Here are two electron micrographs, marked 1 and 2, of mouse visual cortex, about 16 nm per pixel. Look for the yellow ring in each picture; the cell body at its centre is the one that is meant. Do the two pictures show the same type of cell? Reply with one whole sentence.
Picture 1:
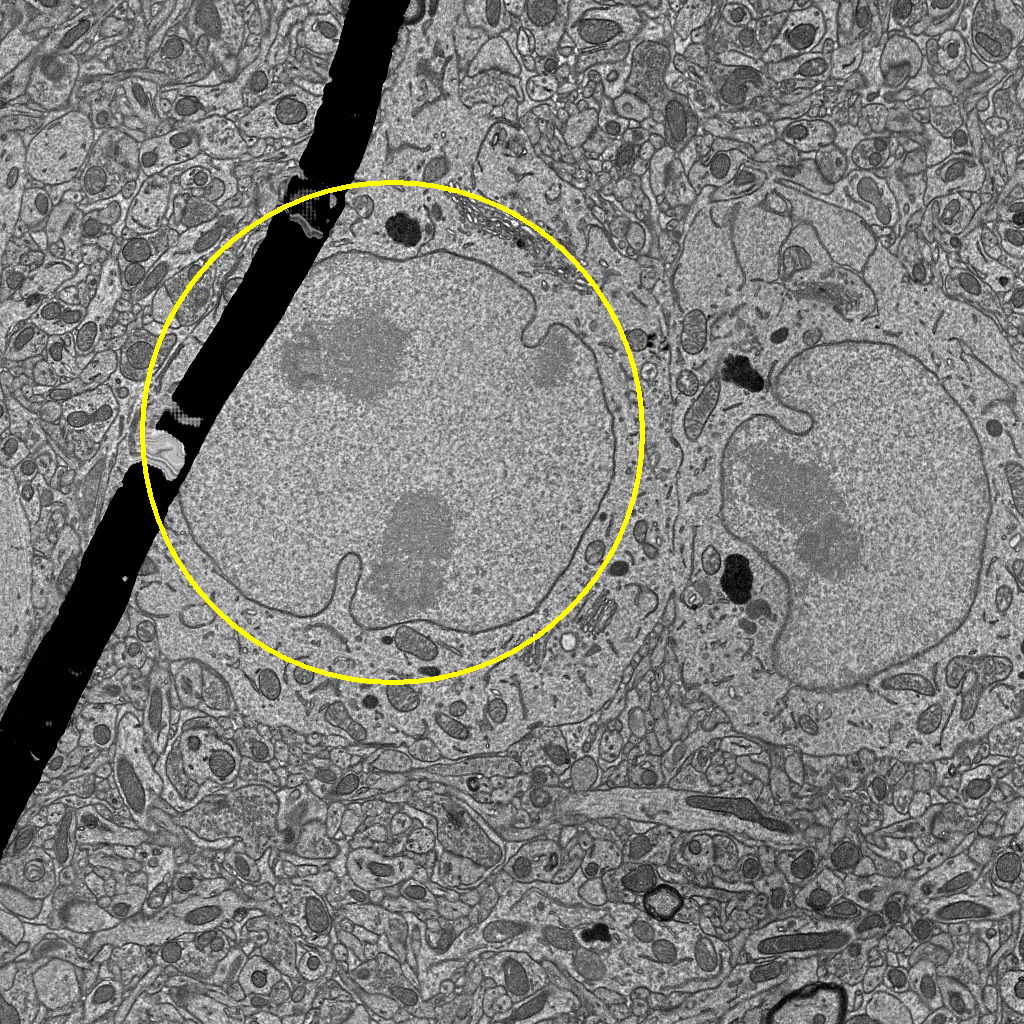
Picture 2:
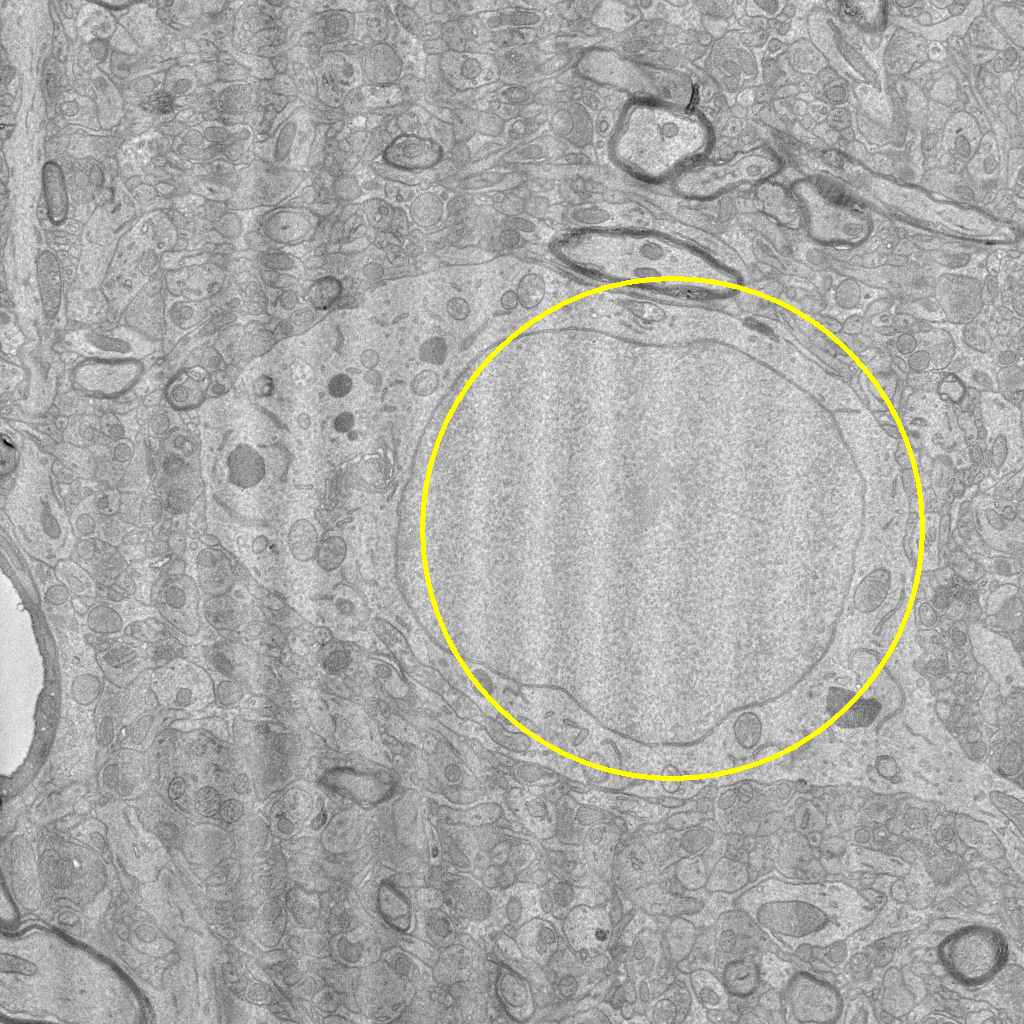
Yes, both are excitatory neurons.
